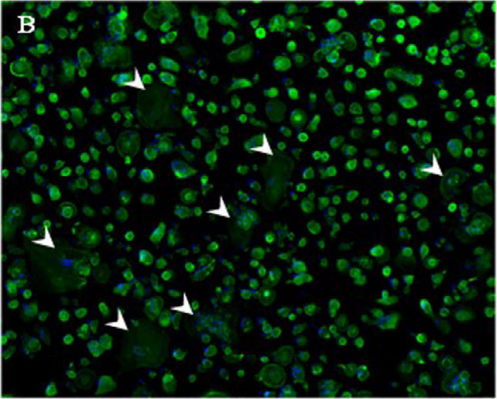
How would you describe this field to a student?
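The small cells are scattered fairly evenly, each a compact green body, many with a brighter green rim or dot and a blue nucleus. The large cells are pale, faintly green, polygonal or rounded sheets, several times the size of the small cells, with a few blue nuclei inside, and they appear as darker, dimmer patches between the bright small cells. Some small cells sit on or at the edges of the large ones.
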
